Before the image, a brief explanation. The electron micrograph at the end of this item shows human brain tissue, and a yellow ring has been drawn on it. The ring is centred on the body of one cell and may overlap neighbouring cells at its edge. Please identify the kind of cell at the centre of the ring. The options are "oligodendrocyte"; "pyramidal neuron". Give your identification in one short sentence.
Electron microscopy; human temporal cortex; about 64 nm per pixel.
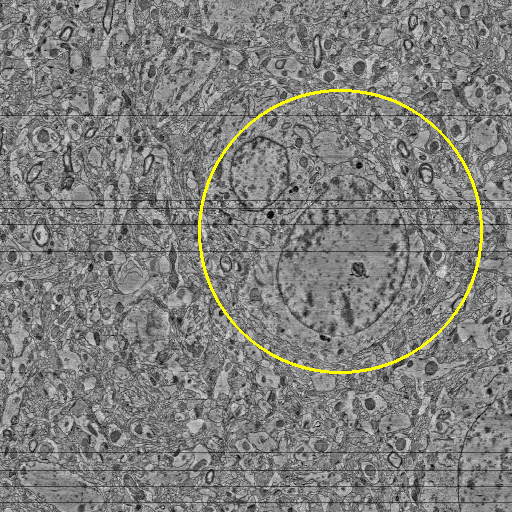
The ring has been placed around a pyramidal neuron.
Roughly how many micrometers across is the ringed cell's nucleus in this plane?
The nucleus has a long axis of about 11 micrometres and a short axis of about 8 micrometres in this plane.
